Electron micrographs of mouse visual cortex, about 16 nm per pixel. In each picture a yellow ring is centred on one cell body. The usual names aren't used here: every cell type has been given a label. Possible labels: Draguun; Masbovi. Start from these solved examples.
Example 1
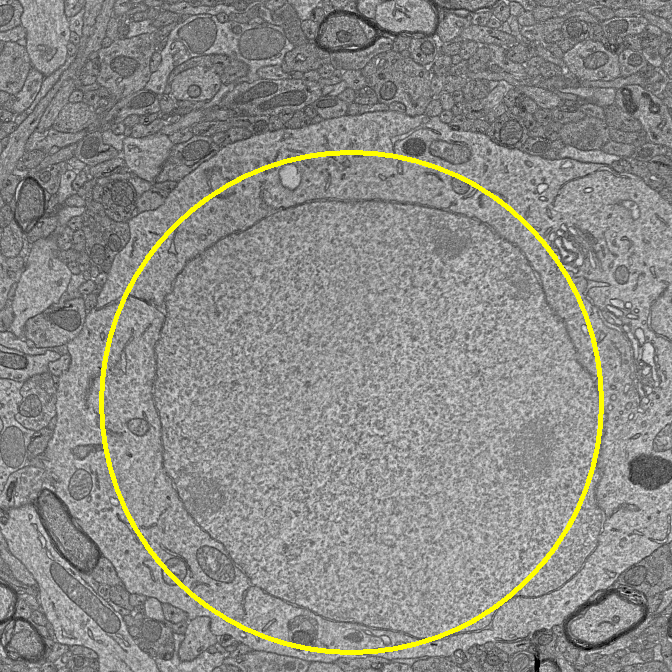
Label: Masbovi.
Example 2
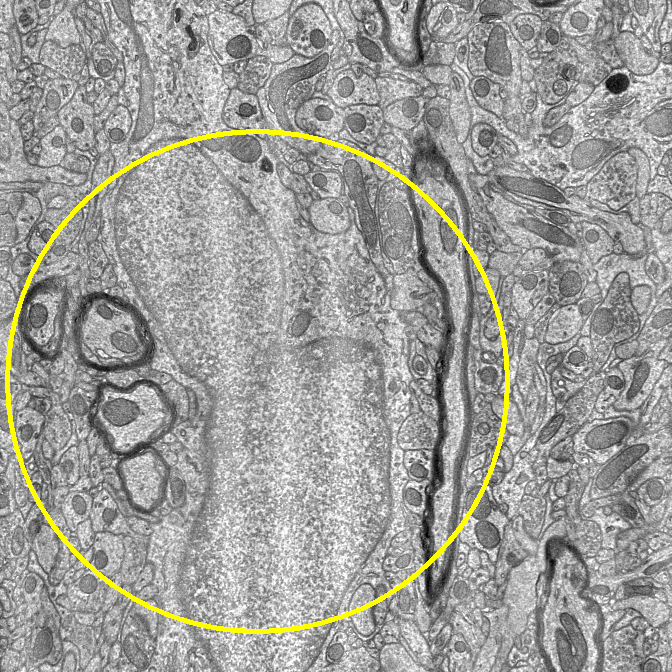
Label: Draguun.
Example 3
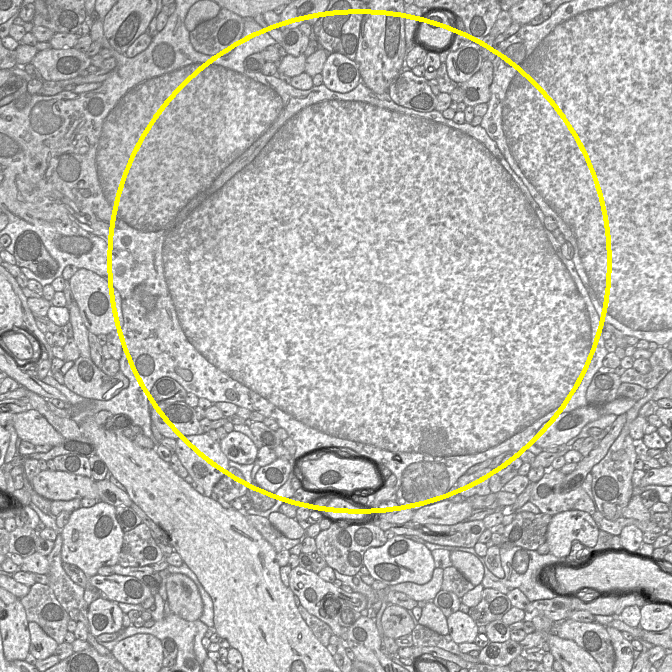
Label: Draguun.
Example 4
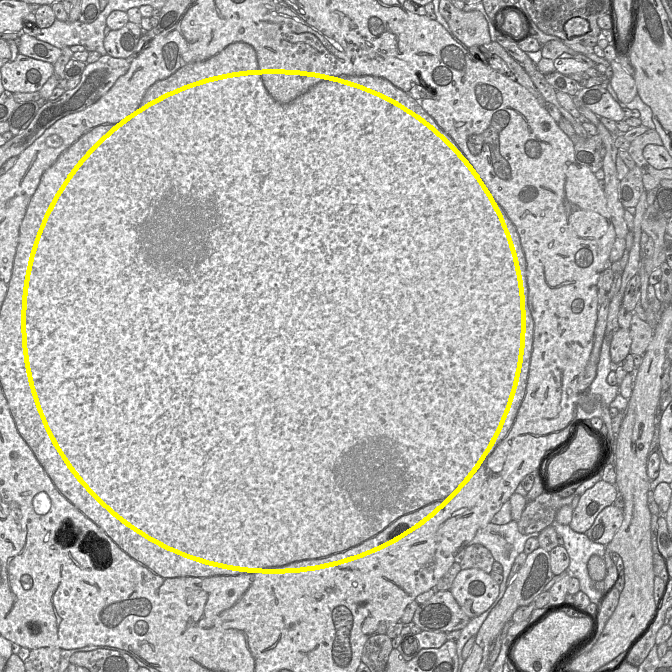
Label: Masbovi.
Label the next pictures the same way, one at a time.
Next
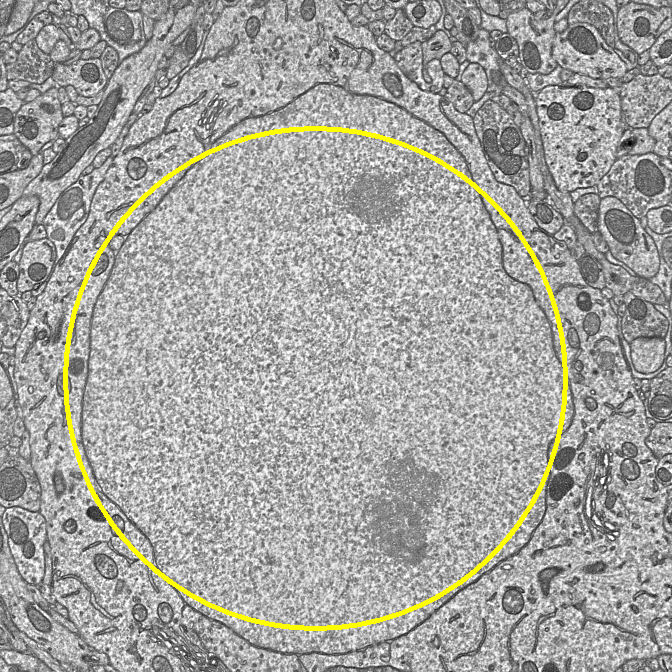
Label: Masbovi.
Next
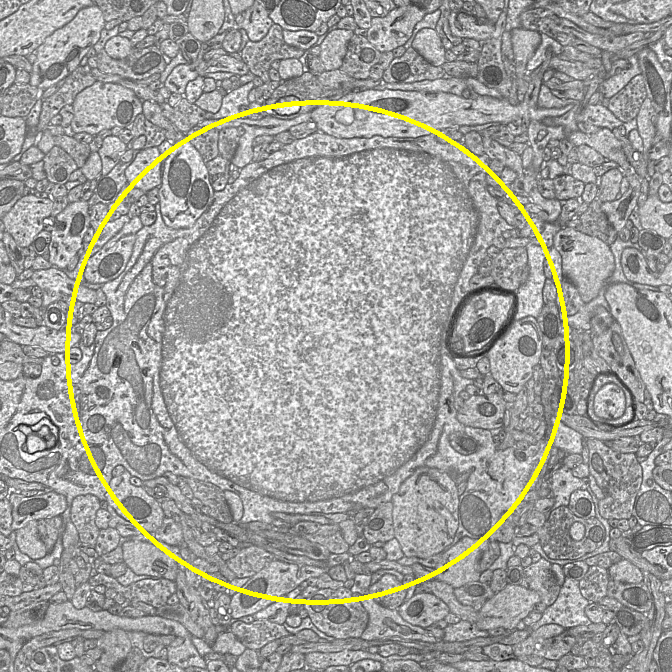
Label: Draguun.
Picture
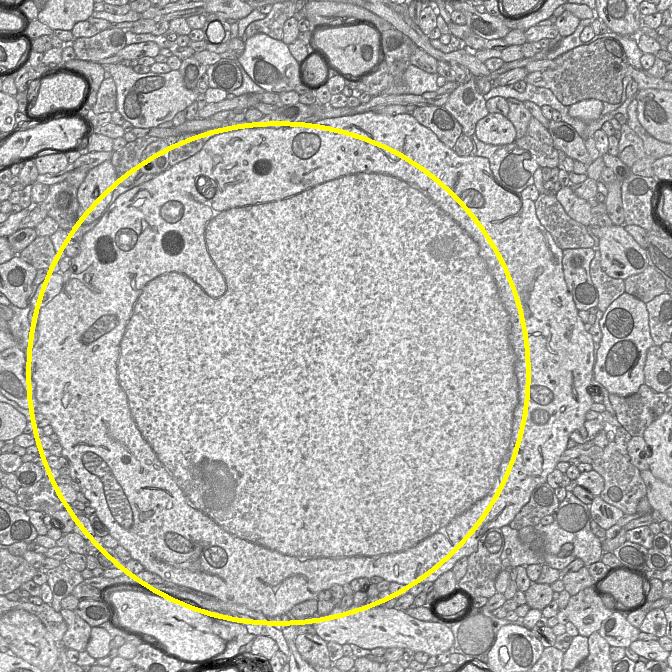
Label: Masbovi.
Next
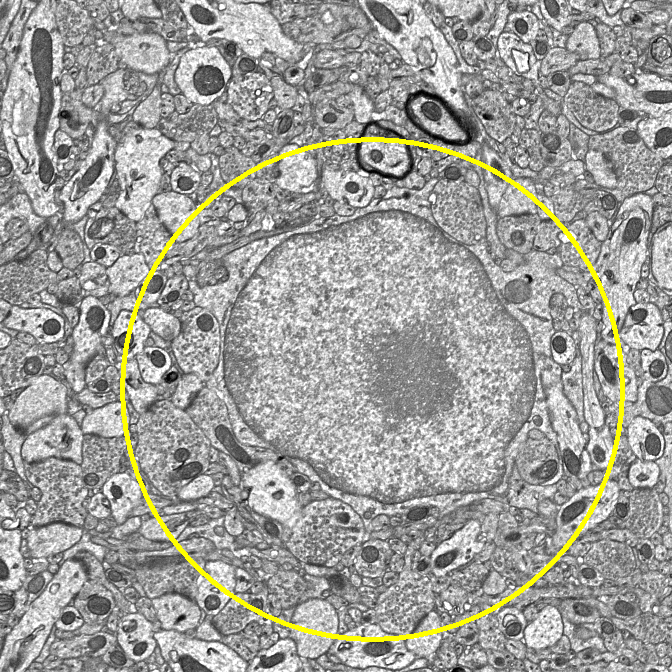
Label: Draguun.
